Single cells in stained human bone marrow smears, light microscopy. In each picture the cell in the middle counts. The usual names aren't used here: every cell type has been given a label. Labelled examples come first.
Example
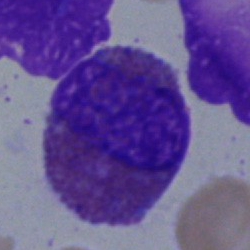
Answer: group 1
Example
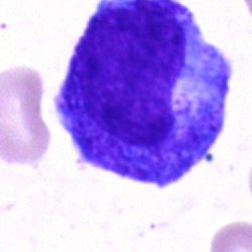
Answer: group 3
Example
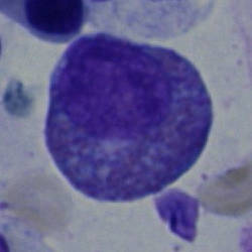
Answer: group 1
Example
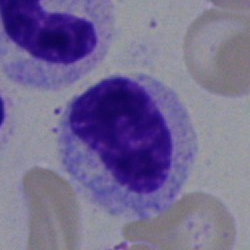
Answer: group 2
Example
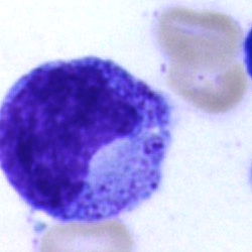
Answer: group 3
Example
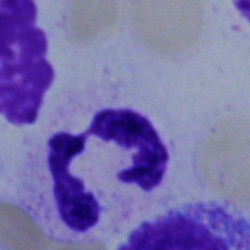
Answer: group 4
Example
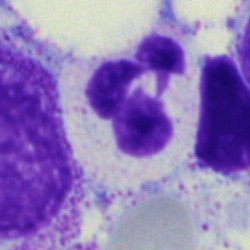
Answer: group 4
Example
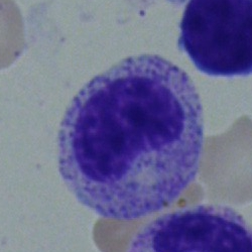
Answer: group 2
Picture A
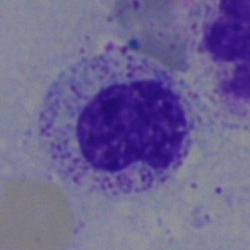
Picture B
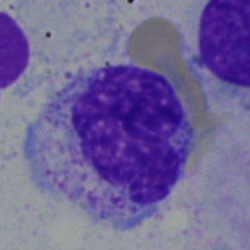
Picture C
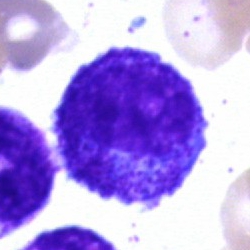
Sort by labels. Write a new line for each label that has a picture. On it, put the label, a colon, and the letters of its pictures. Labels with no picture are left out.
group 3: C
group 2: A, B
